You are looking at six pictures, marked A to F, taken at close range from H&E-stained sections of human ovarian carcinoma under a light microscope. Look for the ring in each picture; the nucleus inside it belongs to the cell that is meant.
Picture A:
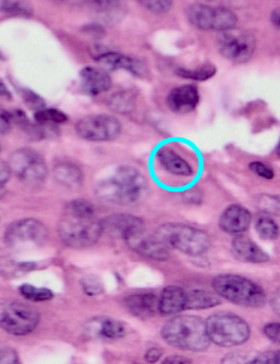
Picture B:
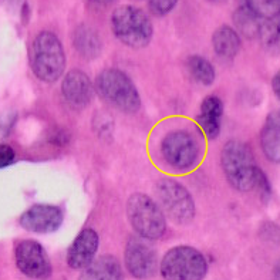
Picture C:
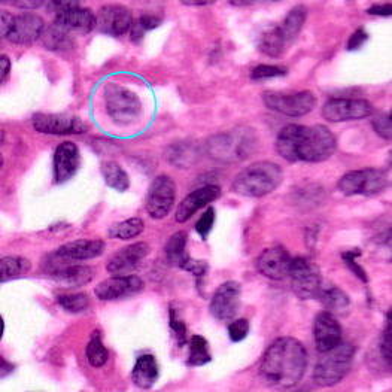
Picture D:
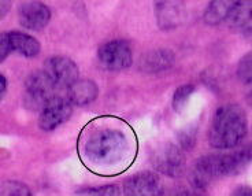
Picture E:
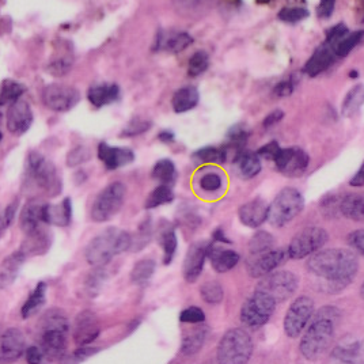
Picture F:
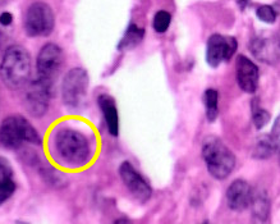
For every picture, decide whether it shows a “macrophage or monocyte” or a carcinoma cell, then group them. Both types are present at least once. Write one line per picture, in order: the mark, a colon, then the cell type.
A: macrophage or monocyte
B: carcinoma cell
C: macrophage or monocyte
D: macrophage or monocyte
E: macrophage or monocyte
F: carcinoma cell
